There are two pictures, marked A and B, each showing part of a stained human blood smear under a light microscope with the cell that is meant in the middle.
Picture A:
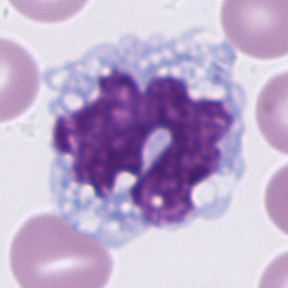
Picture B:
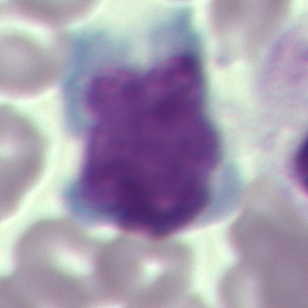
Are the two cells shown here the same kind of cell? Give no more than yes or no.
yes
